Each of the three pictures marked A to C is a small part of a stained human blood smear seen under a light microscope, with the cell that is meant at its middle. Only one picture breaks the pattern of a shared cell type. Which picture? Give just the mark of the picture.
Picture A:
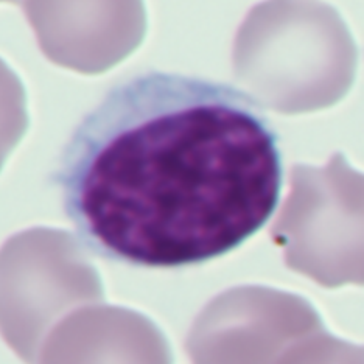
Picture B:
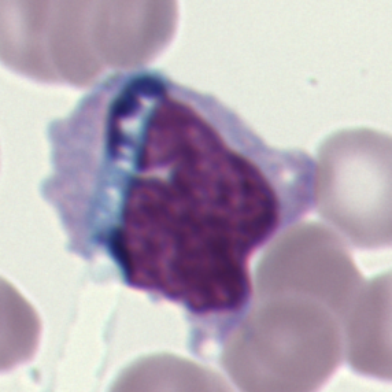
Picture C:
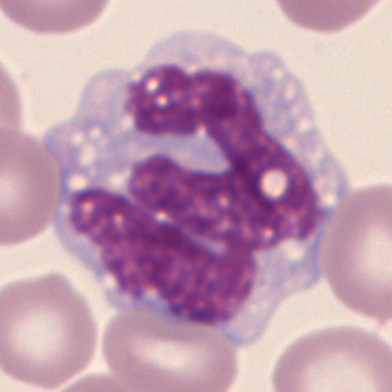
A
